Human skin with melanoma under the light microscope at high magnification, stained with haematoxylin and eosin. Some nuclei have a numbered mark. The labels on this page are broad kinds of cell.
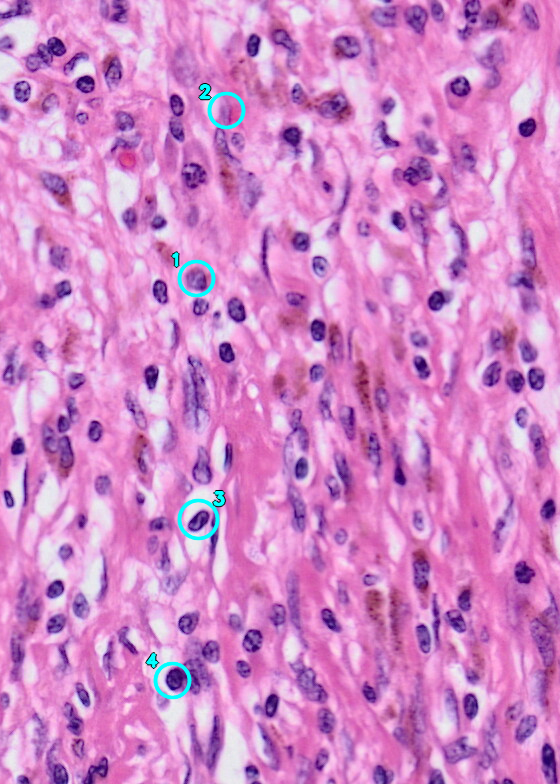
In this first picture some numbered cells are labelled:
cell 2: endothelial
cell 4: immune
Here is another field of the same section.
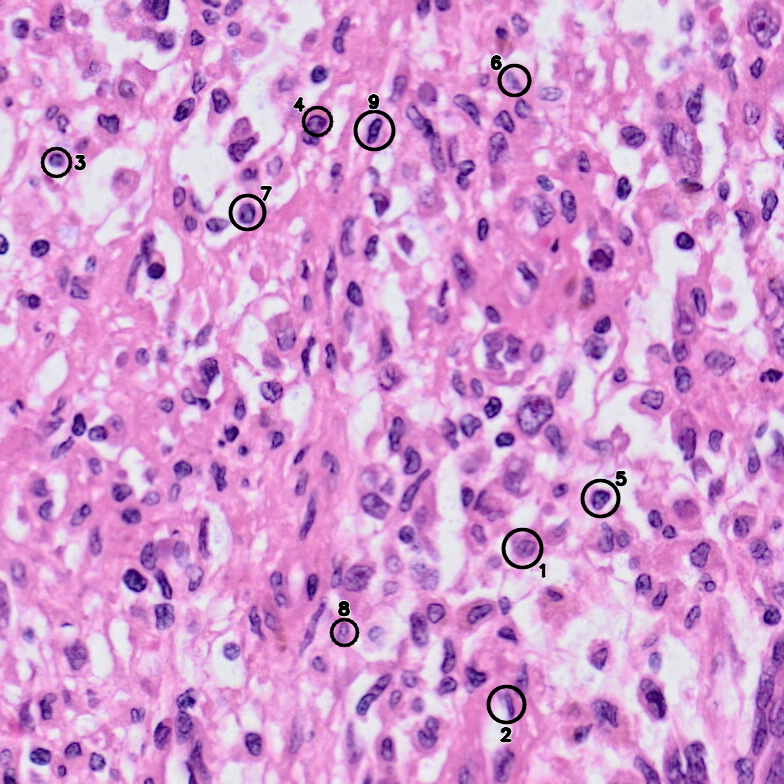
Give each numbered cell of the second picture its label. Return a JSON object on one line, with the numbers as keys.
{"1": "immune", "2": "endothelial", "3": "immune", "4": "immune", "5": "immune", "6": "immune", "7": "immune", "8": "immune", "9": "immune"}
